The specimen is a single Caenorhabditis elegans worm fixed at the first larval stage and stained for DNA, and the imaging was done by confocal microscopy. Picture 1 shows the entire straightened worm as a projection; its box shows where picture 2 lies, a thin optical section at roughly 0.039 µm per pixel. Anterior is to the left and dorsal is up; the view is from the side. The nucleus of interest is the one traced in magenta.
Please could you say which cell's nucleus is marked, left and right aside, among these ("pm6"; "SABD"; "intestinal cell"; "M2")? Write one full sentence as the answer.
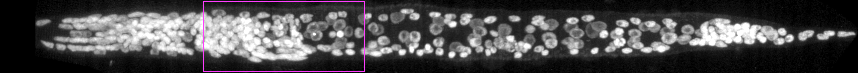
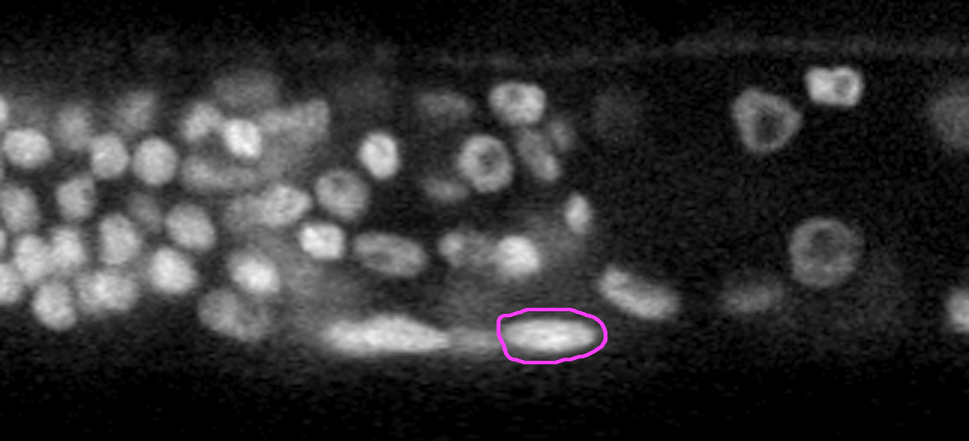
The marked nucleus is that of SABD, a neuron.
